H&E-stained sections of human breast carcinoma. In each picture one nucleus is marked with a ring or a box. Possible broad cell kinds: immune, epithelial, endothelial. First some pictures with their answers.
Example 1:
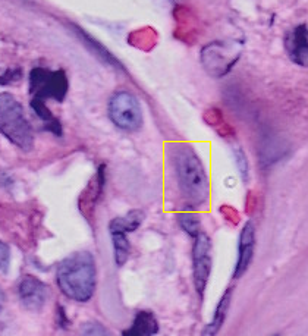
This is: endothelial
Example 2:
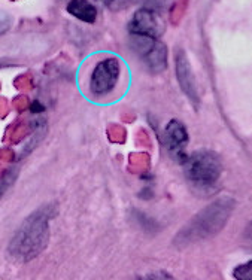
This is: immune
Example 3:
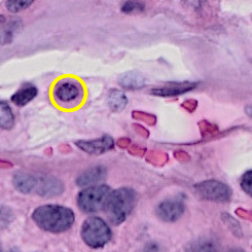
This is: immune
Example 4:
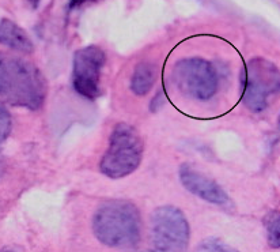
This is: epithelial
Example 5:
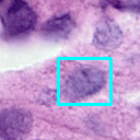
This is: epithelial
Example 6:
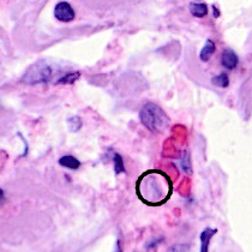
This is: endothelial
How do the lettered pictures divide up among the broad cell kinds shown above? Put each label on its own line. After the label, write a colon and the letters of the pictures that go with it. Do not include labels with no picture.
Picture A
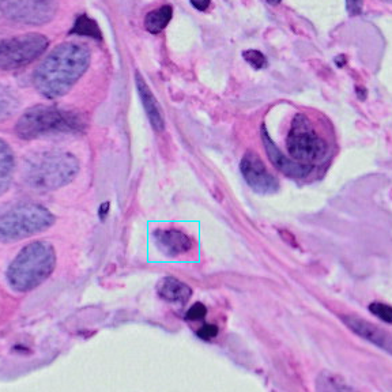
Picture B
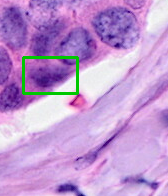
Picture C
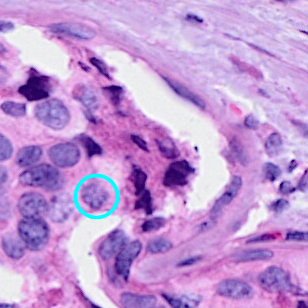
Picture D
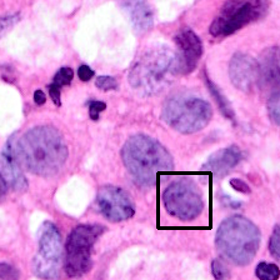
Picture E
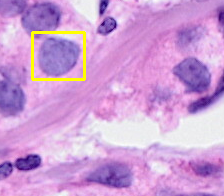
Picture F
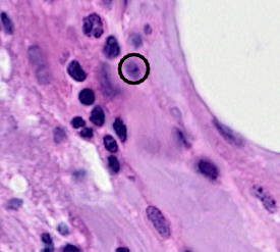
immune: A, F
epithelial: B, C, D, E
